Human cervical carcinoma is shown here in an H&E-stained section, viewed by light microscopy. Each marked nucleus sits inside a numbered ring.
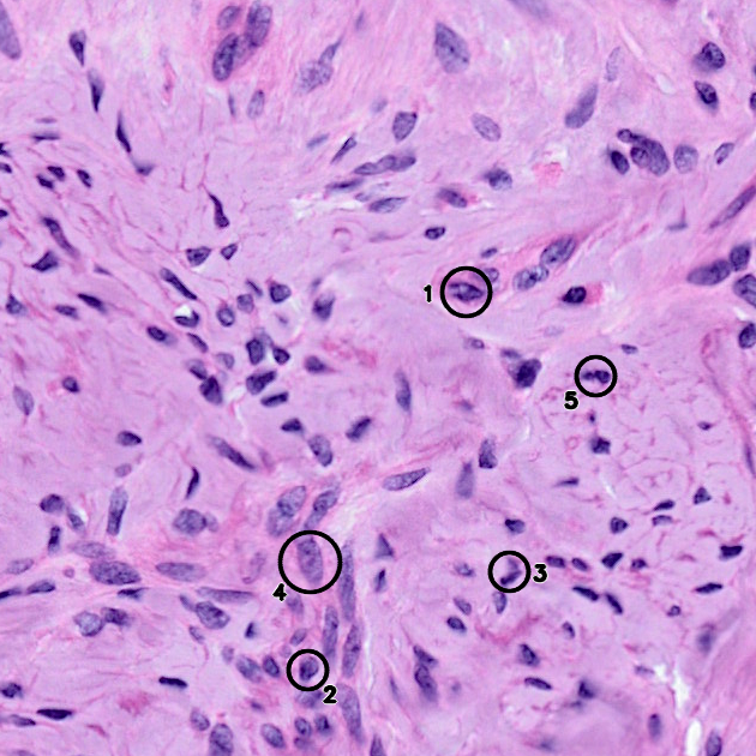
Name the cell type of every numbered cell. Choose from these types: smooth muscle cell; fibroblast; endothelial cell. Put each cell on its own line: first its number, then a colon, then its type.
1: endothelial cell
2: smooth muscle cell
3: fibroblast
4: smooth muscle cell
5: fibroblast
